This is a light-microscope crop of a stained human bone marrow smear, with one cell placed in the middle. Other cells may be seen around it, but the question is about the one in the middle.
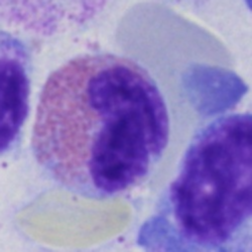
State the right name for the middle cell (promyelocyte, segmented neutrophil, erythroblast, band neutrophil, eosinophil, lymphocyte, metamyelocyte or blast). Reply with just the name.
eosinophil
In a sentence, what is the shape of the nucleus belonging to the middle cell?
If you check the nucleus, you will find one compact mass, round, oval or kidney-shaped.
